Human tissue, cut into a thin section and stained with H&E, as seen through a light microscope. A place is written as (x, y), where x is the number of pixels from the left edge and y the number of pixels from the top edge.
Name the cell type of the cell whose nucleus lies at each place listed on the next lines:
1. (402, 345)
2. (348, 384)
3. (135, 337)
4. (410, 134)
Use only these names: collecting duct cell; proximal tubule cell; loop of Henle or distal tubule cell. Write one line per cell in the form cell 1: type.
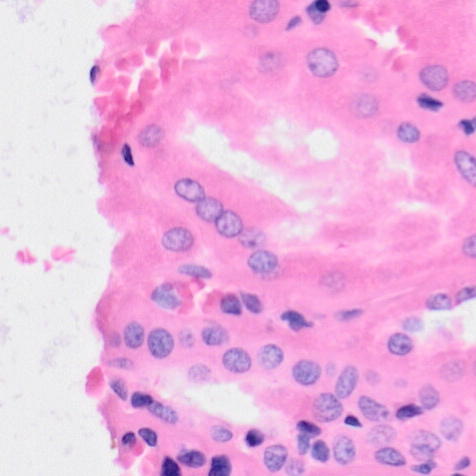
cell 1: loop of Henle or distal tubule cell
cell 2: collecting duct cell
cell 3: collecting duct cell
cell 4: proximal tubule cell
